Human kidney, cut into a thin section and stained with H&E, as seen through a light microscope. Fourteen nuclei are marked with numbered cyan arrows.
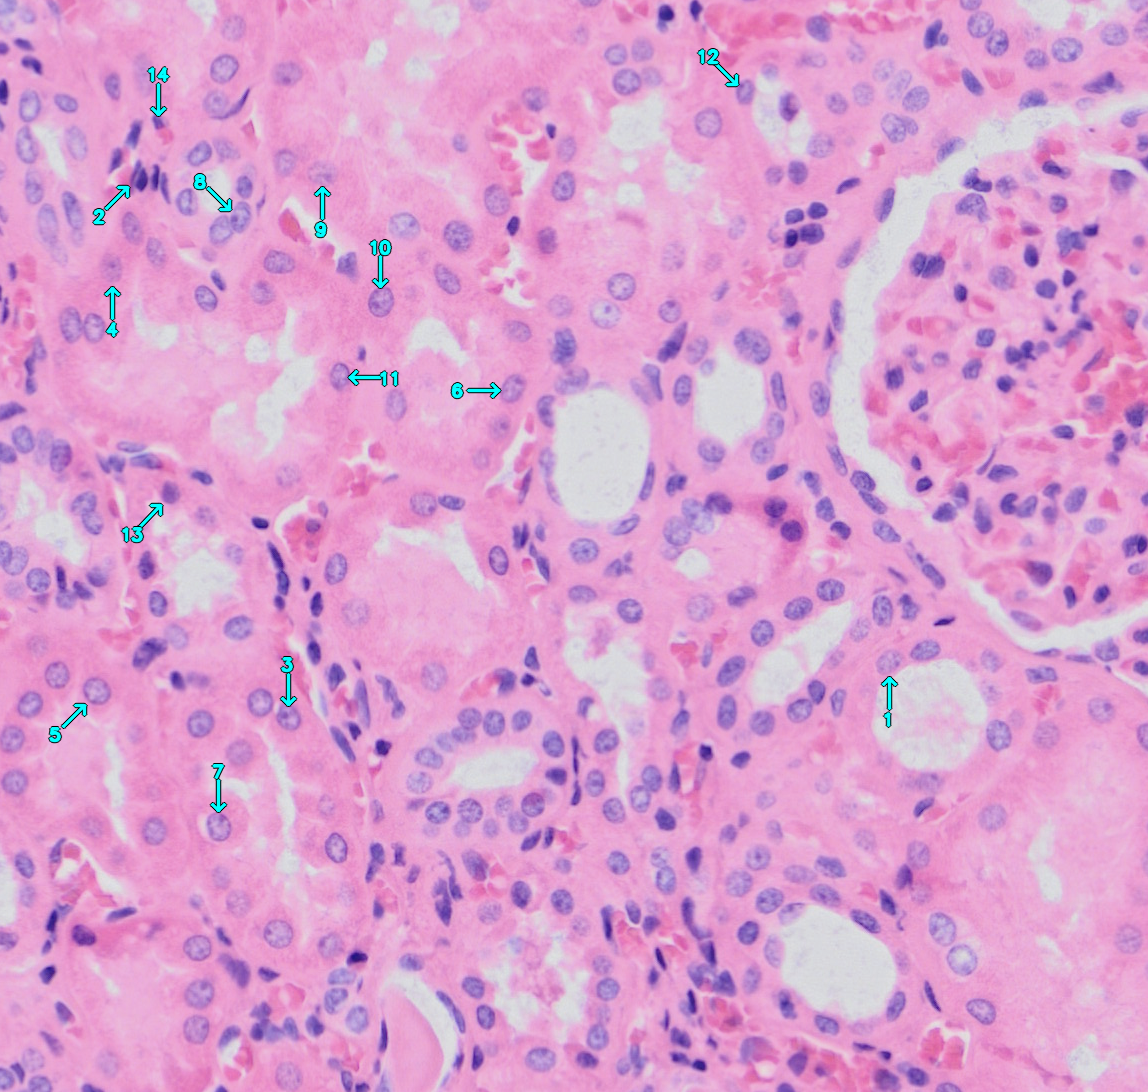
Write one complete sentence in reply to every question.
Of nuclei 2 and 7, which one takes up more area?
Of the two, number 7 is bigger and takes up about 1.5 times the area of number 2.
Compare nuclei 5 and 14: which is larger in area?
Nucleus 5 is larger, with an area about 4 times that of nucleus 14.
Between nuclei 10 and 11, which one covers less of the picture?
Nucleus 11 is the smaller one; nucleus 10 covers about 1.5 times its area.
